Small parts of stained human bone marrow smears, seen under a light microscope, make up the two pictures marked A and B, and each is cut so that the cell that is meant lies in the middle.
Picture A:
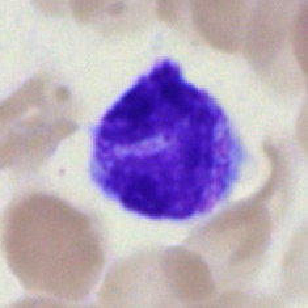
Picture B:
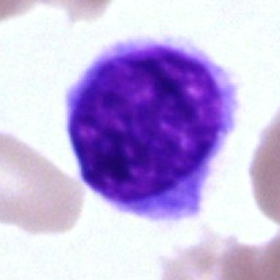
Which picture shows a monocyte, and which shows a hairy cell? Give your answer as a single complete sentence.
The cell in picture A is a monocyte, and the one in picture B is a hairy cell.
